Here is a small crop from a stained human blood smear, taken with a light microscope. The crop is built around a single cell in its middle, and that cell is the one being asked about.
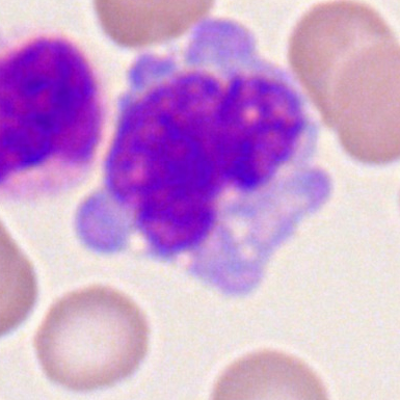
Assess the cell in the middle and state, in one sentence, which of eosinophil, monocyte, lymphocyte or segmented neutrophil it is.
In the middle of this smear crop, the cell is a monocyte.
